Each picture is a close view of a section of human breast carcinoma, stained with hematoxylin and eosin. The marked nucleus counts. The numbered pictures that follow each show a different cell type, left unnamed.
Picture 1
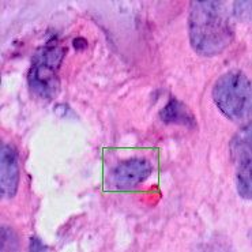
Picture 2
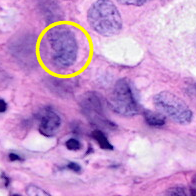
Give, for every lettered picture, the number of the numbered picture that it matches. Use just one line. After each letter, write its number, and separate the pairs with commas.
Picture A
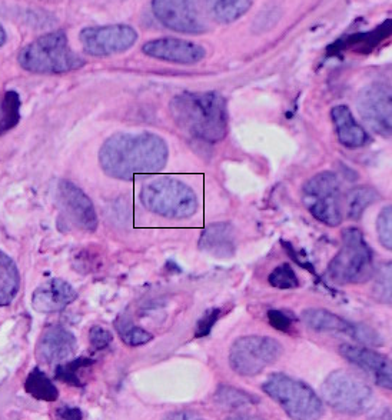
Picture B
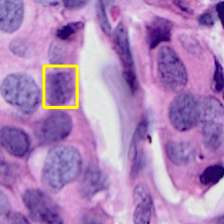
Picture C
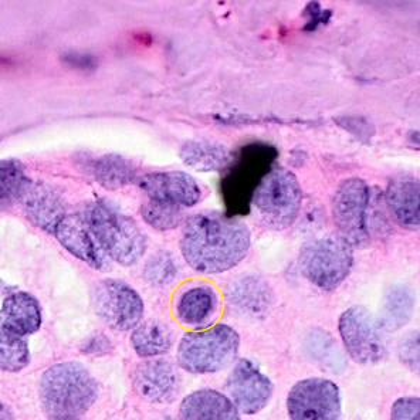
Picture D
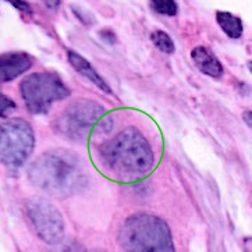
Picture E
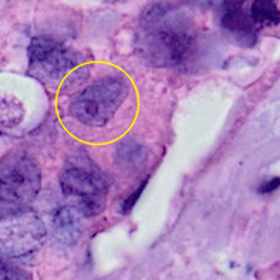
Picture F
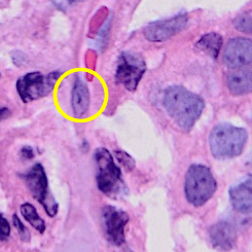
A 2, B 2, C 2, D 2, E 2, F 1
